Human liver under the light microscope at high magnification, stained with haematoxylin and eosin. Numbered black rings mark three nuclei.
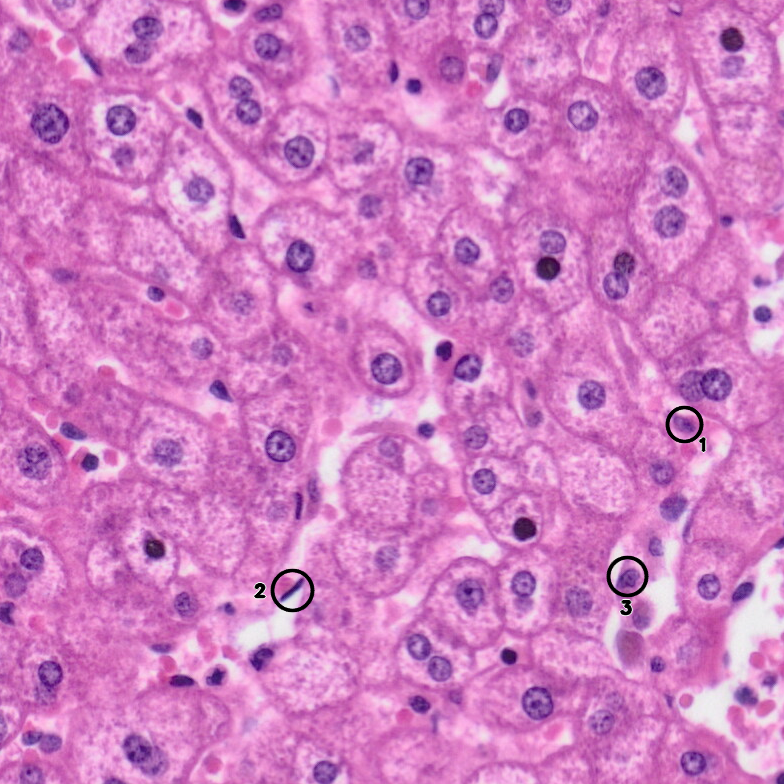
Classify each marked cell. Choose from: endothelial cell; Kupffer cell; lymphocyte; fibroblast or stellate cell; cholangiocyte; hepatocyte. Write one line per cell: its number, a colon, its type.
1: Kupffer cell
2: endothelial cell
3: Kupffer cell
